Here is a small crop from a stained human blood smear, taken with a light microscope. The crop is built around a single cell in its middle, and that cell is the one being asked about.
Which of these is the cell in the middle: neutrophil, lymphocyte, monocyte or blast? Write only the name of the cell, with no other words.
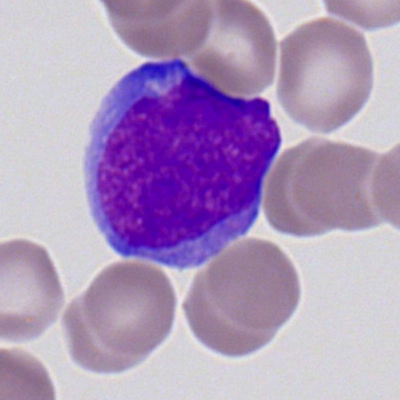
blast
